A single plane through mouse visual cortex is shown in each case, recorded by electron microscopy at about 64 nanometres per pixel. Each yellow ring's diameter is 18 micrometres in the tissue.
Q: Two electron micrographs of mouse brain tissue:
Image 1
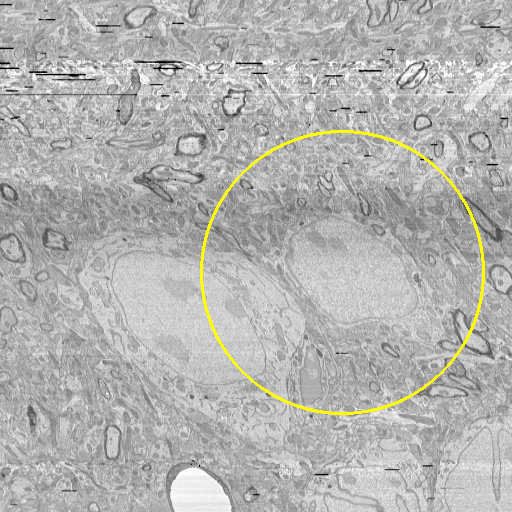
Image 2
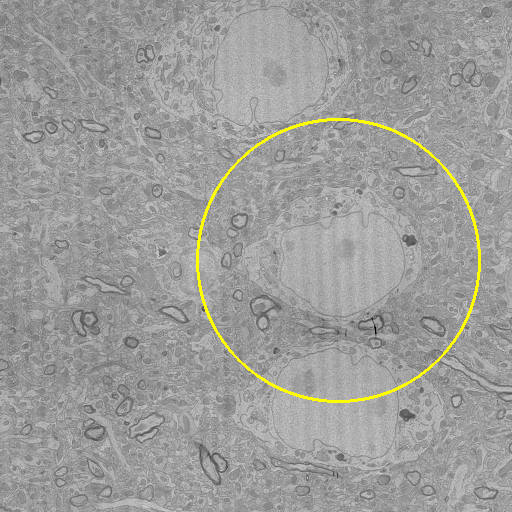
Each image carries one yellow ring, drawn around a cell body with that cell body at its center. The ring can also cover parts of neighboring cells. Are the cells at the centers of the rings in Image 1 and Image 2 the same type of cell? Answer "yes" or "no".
no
